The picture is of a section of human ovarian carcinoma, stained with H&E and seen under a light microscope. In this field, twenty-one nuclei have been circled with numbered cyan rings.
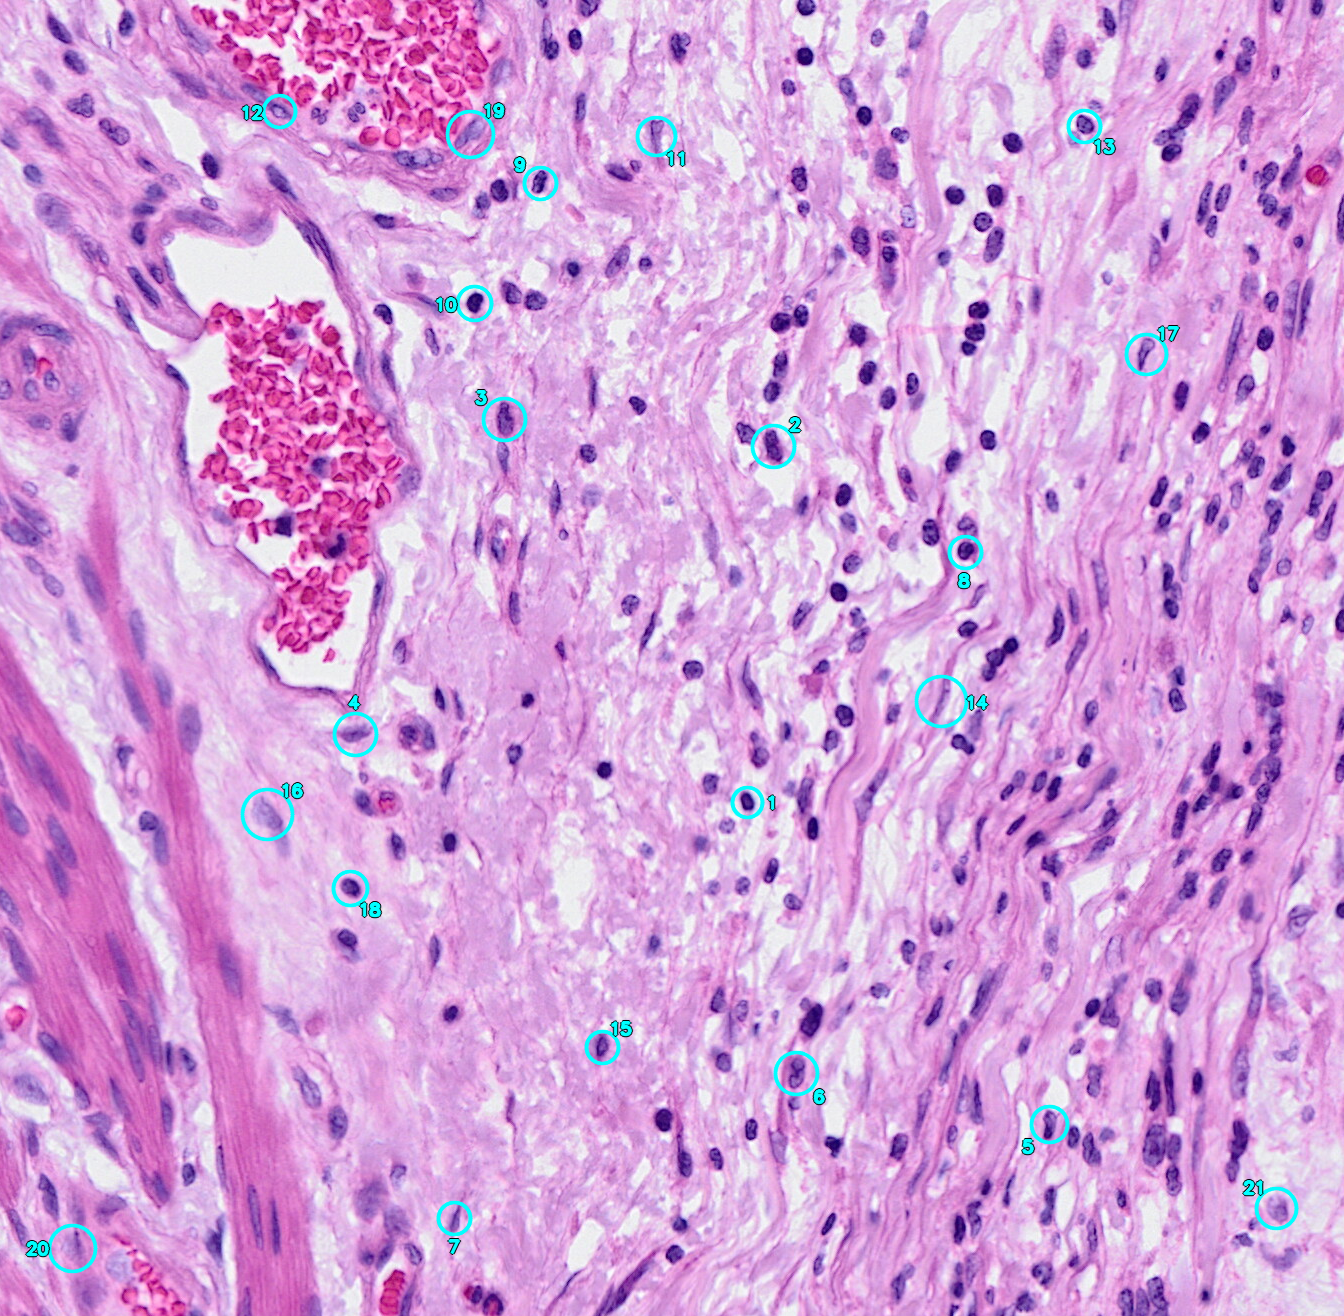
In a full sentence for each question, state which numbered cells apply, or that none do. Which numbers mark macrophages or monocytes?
In this section, the cells numbered 2, 3, 5, 6, 15 and 17 are macrophages or monocytes.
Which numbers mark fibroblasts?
Identified as fibroblasts are the cells numbered 4, 7, 11, 14, 16, 20 and 21.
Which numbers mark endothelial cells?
The cells with numbers 12 and 19 are endothelial cells by type.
